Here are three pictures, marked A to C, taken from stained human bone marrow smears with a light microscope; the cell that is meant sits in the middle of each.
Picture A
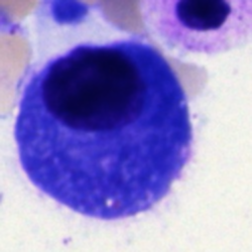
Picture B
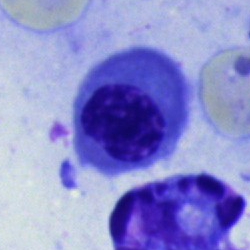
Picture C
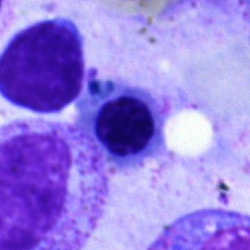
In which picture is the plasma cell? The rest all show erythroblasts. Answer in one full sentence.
The plasma cell is the one in picture A.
